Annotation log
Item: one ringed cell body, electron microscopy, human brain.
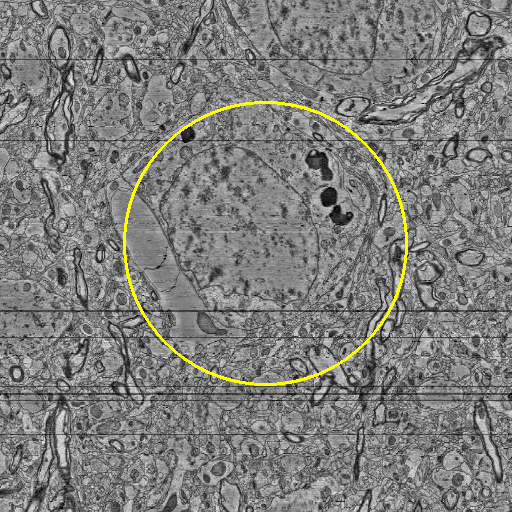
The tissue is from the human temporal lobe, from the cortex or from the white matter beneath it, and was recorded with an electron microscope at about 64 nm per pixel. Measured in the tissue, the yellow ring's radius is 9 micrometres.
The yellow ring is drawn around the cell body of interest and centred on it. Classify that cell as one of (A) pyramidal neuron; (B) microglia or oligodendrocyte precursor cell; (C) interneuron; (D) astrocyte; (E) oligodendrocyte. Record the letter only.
A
